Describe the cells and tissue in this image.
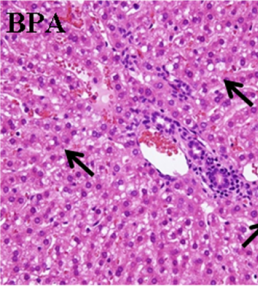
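This section of liver shows cords of hepatocytes around small vessels. A band of densely packed small cells with dark purple nuclei lies around the vessels in the centre. Sinusoids containing red blood cells run between the cords.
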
